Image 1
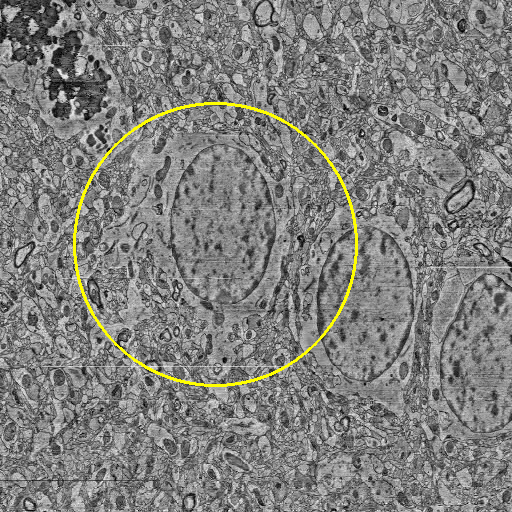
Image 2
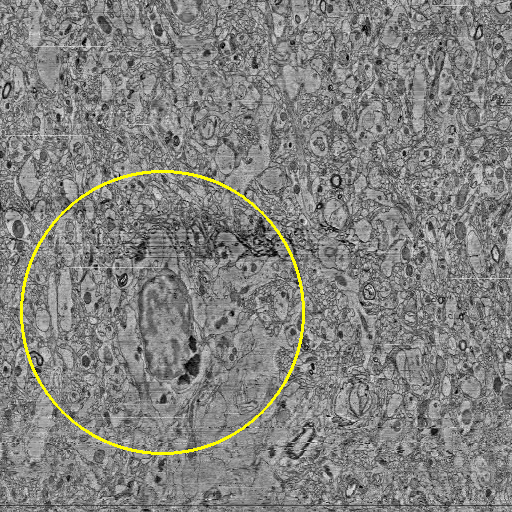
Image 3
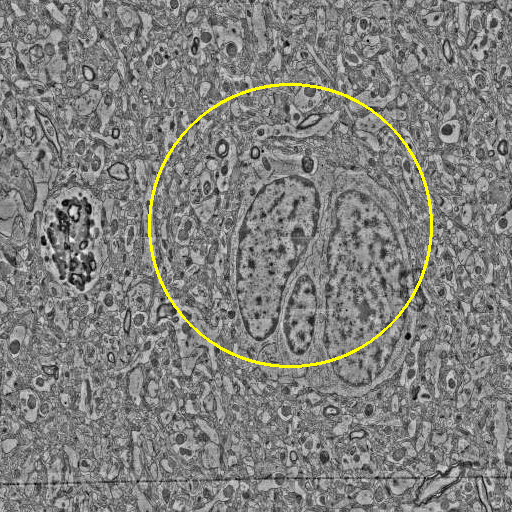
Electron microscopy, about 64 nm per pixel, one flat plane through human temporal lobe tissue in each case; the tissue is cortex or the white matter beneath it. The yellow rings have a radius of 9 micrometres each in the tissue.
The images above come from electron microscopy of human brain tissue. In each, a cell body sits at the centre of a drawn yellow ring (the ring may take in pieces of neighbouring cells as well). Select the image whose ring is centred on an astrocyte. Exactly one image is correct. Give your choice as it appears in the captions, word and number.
Image 1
